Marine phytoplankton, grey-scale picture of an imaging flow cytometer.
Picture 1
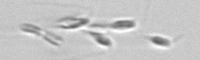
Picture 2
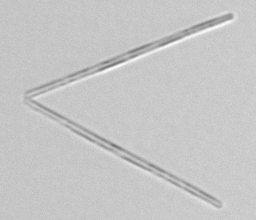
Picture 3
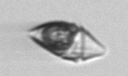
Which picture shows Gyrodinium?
Picture 3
